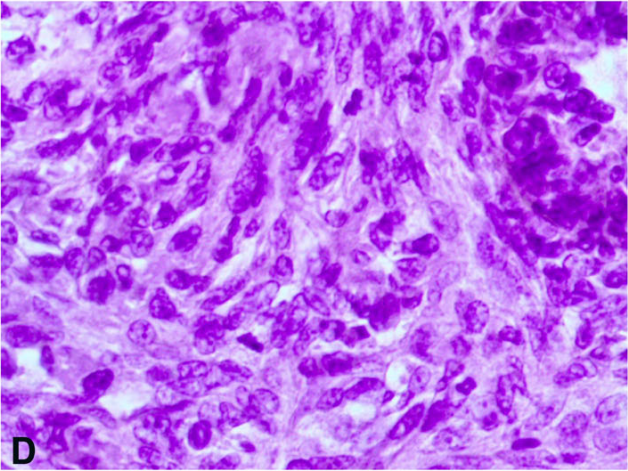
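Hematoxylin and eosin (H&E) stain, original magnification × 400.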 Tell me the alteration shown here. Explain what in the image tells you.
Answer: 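Nuclei vary widely in size and shape, from oval to irregular and angulated. Many nuclei are hyperchromatic and crowded. Some nuclei are much larger than their neighbours. On this evidence: nuclear pleomorphism.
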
